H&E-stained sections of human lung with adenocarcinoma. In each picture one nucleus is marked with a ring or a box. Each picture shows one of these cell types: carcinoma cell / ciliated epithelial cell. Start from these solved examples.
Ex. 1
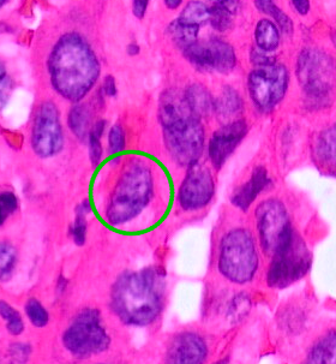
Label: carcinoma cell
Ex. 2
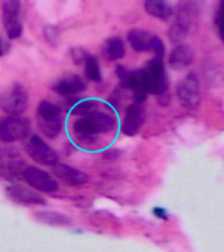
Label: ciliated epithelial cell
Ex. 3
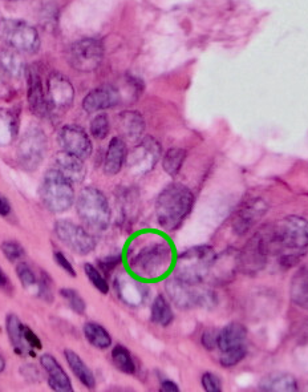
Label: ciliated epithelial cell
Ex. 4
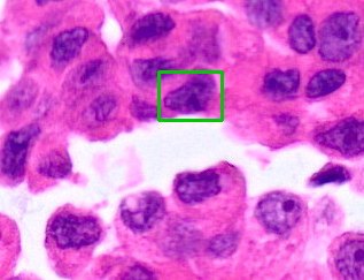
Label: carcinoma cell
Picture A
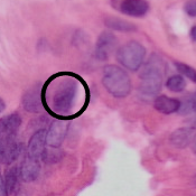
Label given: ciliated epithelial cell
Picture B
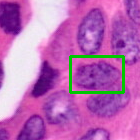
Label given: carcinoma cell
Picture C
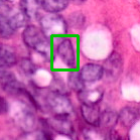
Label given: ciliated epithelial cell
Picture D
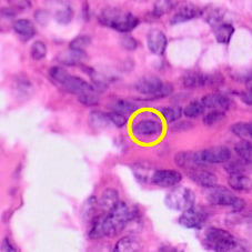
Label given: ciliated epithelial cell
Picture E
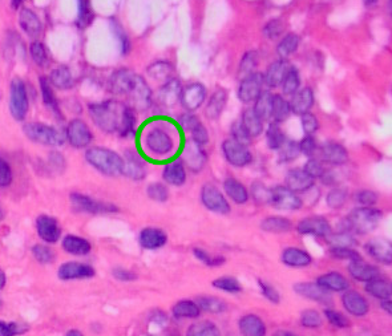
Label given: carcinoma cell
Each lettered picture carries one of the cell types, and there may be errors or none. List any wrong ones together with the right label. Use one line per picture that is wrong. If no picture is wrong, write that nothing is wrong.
Wrong: E (carcinoma cell); correct: ciliated epithelial cell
